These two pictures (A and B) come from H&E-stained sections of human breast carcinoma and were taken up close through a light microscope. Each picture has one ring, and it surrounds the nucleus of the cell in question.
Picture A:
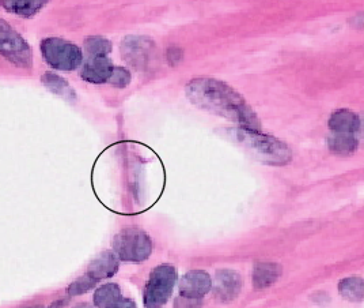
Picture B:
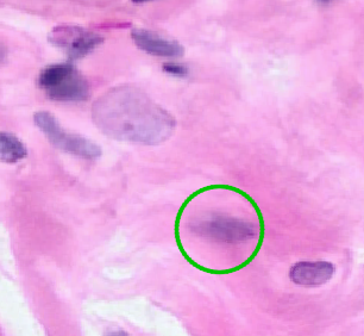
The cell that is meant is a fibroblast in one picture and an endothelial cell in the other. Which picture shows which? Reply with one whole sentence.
Picture A is of an endothelial cell, and picture B is of a fibroblast.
